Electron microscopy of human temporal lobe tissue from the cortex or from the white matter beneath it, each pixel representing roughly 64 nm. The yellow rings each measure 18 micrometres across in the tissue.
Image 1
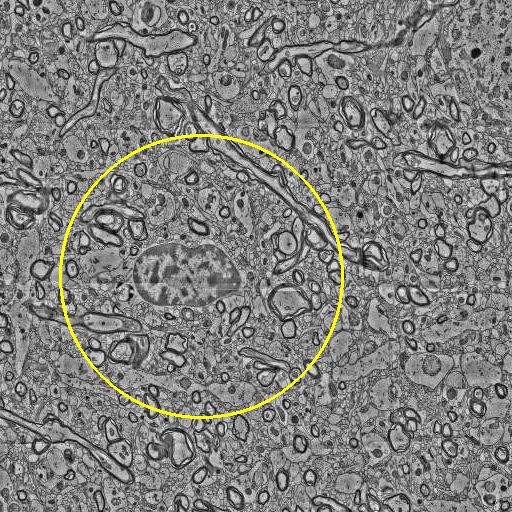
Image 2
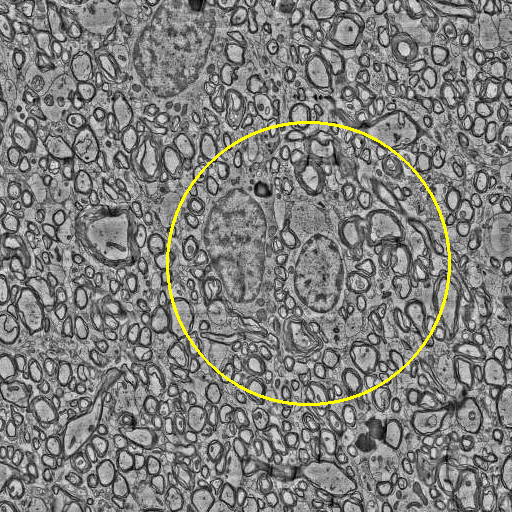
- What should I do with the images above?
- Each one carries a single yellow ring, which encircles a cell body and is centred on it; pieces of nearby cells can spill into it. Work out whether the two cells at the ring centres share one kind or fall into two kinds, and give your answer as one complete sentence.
The ring-centre cells of Image 1 and Image 2 share one kind.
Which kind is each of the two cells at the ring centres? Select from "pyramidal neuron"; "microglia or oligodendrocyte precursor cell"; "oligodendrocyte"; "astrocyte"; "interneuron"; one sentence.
Both cells are the same kind, each one being a microglial cell or oligodendrocyte precursor cell.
